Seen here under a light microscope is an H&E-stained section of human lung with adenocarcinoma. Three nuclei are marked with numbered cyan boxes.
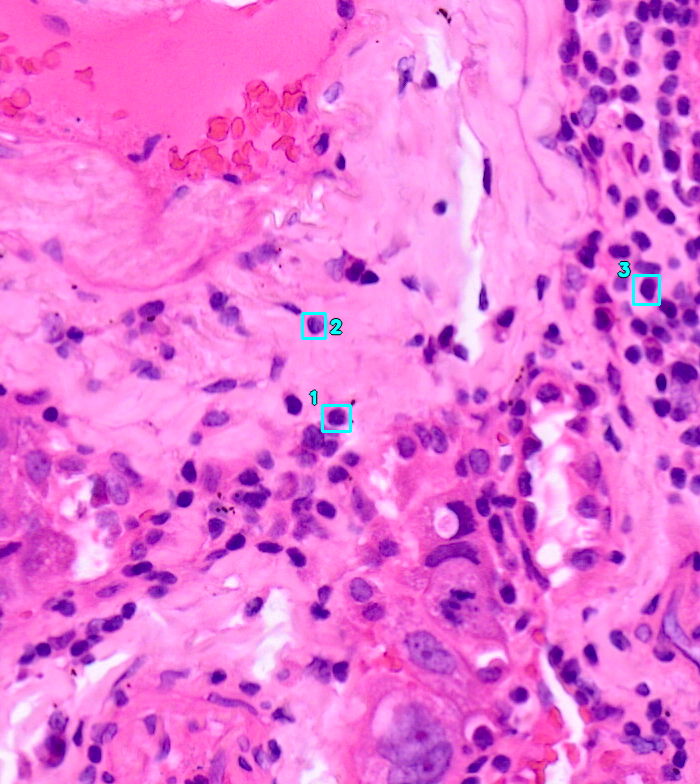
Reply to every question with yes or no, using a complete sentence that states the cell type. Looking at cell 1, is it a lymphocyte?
Yes, cell number 1 in this section is a lymphocyte.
